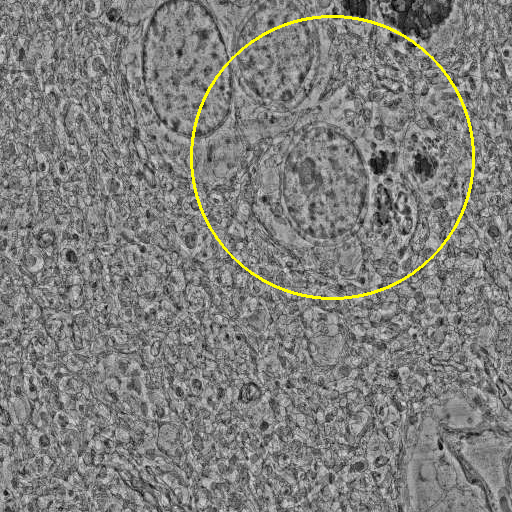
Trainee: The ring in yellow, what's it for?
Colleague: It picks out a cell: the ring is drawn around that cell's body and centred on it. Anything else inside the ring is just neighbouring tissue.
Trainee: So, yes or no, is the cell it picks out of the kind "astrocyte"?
yes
